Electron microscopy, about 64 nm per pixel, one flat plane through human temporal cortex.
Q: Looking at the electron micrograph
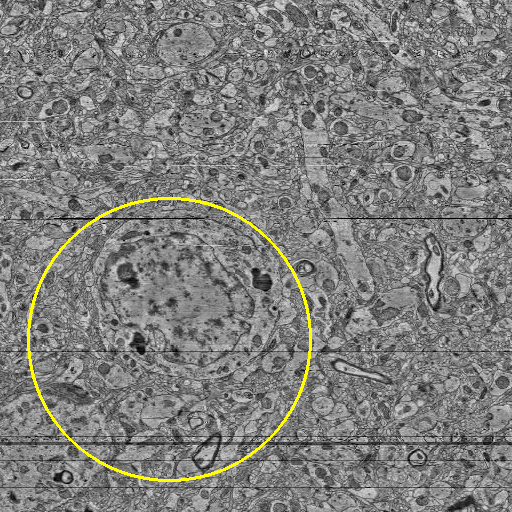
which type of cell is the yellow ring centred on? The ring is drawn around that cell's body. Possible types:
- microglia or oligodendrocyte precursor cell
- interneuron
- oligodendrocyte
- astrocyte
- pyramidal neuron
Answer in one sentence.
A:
The yellow ring is centred on an interneuron.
